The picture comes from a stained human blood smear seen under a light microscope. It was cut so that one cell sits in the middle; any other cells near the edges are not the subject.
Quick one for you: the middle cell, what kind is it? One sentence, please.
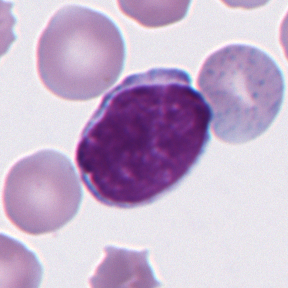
For this crop, the central cell is a lymphocyte.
